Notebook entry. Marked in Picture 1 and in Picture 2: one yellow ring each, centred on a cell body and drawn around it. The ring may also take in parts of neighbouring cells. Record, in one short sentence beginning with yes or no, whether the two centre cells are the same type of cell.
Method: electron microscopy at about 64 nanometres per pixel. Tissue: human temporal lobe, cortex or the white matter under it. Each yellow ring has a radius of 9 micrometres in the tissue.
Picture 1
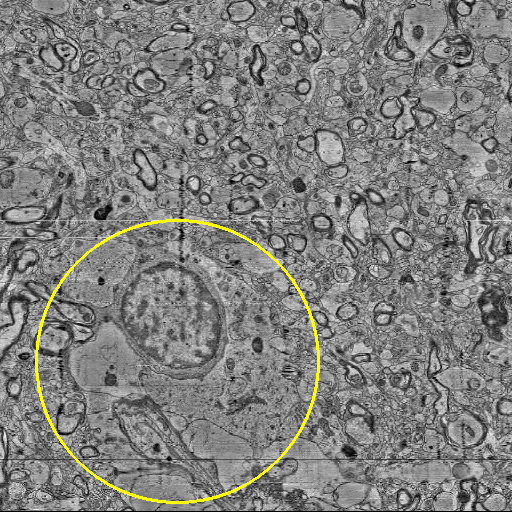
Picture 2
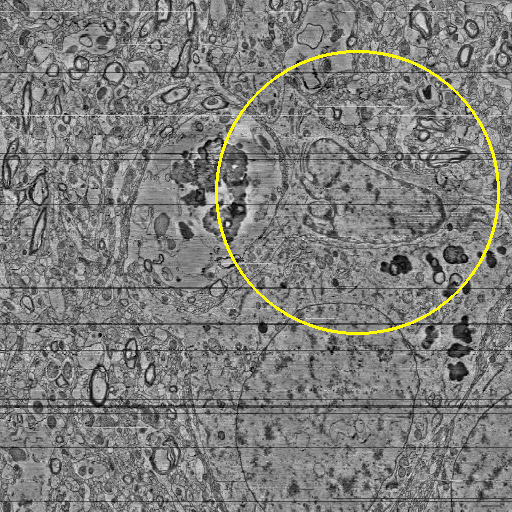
No, they are two types of cell.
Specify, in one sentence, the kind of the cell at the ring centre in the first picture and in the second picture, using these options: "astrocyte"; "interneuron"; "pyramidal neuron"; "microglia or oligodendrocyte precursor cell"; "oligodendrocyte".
So the first is an oligodendrocyte, the second a microglial cell or oligodendrocyte precursor cell.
